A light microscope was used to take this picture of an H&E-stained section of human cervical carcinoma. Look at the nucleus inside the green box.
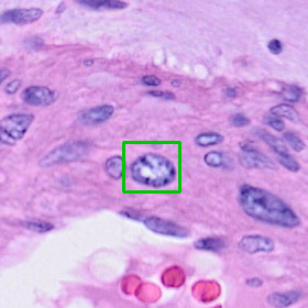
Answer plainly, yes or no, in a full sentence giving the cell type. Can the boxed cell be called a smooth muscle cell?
Yes, the boxed cell is to be classified as a smooth muscle cell.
